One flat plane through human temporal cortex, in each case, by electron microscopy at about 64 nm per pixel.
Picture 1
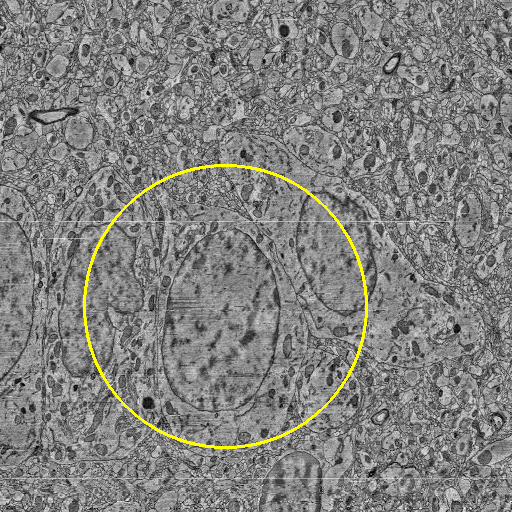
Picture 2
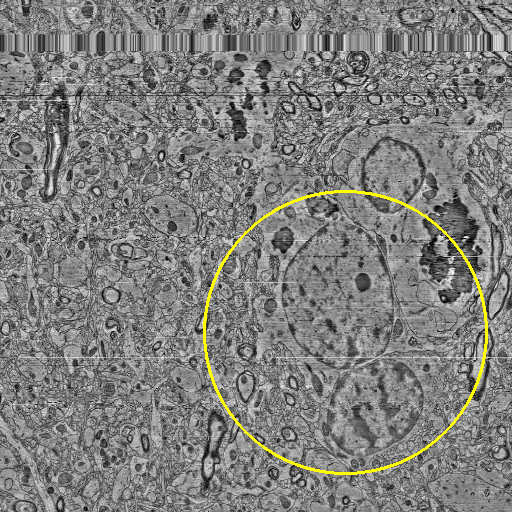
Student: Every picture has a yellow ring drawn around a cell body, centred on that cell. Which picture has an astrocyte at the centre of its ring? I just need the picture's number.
2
